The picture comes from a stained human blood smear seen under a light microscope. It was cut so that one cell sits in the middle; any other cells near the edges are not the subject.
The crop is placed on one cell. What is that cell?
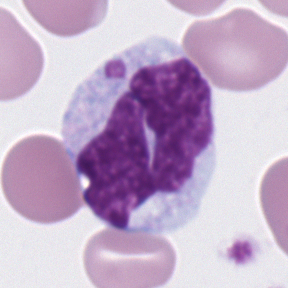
monocyte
